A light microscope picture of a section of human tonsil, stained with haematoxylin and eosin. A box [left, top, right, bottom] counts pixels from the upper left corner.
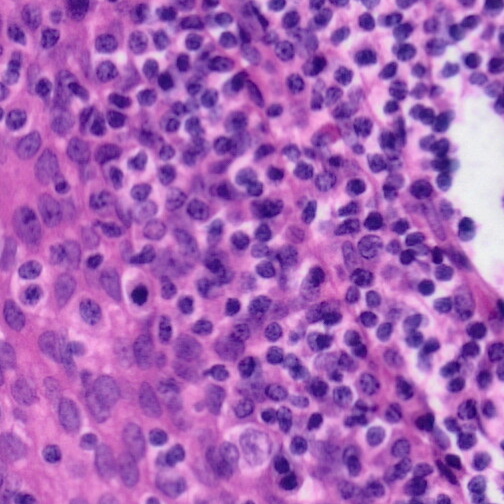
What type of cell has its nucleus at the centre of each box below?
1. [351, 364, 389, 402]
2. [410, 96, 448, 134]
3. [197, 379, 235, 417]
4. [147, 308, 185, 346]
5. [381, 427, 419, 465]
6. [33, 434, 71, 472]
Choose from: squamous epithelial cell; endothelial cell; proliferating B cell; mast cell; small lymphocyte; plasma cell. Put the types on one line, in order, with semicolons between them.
plasma cell; small lymphocyte; squamous epithelial cell; squamous epithelial cell; plasma cell; squamous epithelial cell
